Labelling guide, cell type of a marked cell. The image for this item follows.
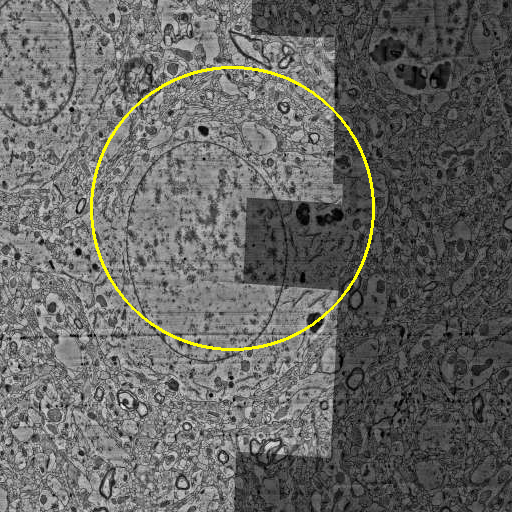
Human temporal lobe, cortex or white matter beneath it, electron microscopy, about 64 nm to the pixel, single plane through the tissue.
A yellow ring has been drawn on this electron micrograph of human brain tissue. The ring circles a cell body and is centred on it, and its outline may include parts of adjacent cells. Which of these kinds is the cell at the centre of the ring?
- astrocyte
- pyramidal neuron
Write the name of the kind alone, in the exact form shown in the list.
pyramidal neuron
